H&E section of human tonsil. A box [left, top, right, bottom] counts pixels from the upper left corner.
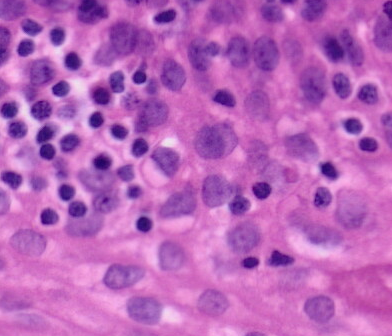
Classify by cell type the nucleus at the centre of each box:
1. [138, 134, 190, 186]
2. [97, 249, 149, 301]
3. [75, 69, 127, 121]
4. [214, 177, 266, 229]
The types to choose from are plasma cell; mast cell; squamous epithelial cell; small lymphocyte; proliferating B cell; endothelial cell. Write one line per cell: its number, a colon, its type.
1: squamous epithelial cell
2: squamous epithelial cell
3: plasma cell
4: squamous epithelial cell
